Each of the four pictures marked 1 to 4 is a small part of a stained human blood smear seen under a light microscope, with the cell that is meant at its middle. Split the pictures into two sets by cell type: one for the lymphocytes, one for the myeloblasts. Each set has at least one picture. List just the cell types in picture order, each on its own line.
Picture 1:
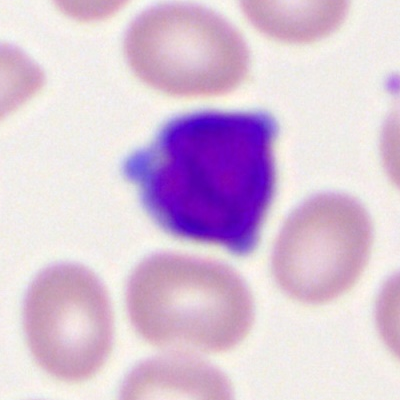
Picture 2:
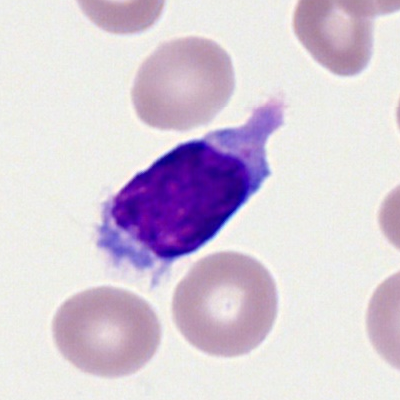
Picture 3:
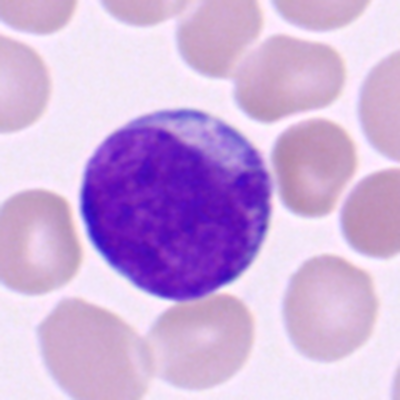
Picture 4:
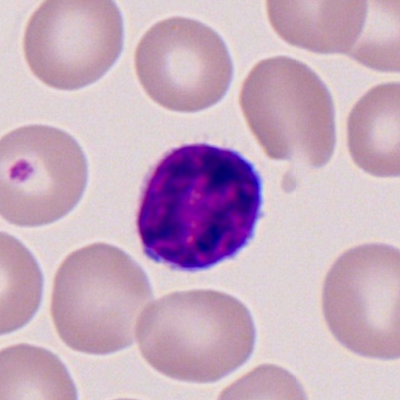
lymphocyte
lymphocyte
myeloblast
lymphocyte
